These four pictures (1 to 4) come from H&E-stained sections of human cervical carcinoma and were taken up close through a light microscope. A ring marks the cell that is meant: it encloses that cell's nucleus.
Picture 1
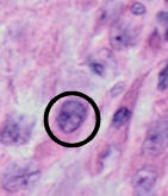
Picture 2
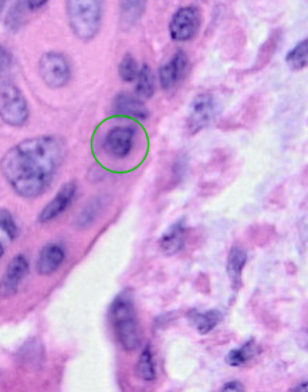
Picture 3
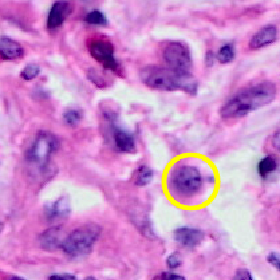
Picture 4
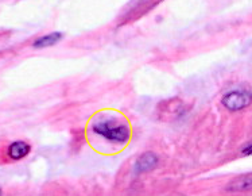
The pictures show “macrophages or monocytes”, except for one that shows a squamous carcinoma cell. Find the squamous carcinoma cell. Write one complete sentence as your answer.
The cell in picture 2 is the squamous carcinoma cell.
